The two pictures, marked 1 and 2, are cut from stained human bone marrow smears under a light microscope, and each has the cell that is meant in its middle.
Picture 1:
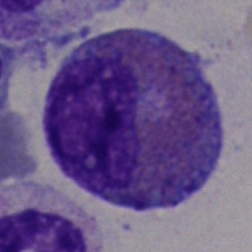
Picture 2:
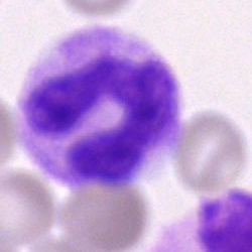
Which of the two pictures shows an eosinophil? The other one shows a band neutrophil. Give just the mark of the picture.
1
